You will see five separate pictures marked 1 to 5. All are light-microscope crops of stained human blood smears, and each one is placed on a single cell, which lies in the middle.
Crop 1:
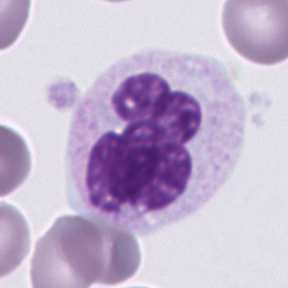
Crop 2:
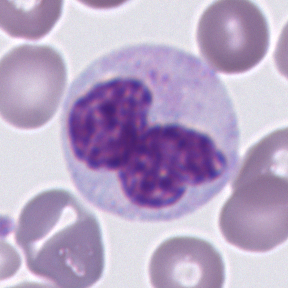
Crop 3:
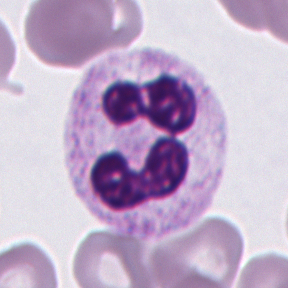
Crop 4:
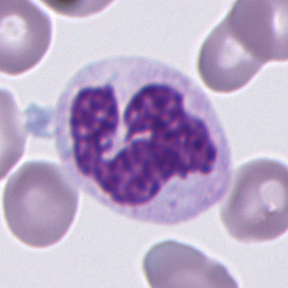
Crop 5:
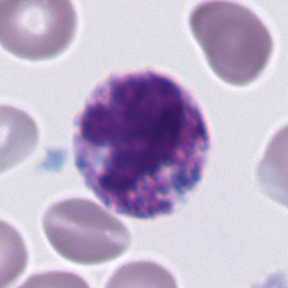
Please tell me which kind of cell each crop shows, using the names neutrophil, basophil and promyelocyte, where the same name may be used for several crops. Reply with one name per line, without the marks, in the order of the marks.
neutrophil
neutrophil
neutrophil
neutrophil
basophil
